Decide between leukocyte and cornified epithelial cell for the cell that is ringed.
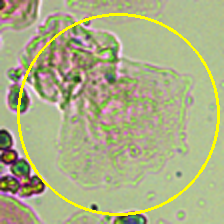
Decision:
I take the ringed cell for a cornified epithelial cell.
